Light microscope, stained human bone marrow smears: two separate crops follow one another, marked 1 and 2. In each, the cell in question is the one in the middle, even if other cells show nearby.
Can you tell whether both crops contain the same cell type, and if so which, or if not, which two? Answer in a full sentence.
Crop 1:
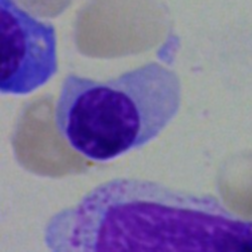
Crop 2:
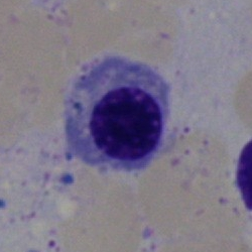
Yes, both crops show erythroblasts in the middle.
